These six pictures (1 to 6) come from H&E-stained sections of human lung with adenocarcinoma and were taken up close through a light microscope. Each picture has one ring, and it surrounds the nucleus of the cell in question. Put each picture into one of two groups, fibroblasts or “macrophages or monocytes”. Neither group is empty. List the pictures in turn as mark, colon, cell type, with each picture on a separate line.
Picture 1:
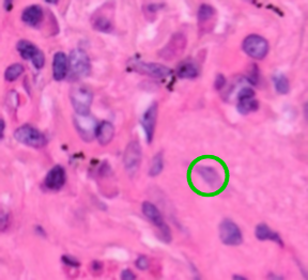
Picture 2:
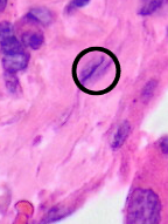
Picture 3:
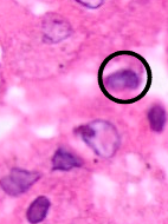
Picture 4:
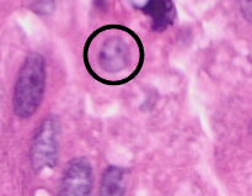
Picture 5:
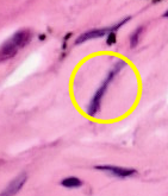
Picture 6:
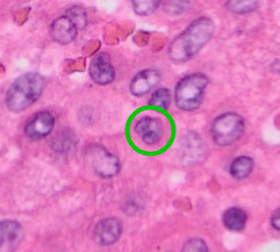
1: fibroblast
2: fibroblast
3: macrophage or monocyte
4: macrophage or monocyte
5: fibroblast
6: macrophage or monocyte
